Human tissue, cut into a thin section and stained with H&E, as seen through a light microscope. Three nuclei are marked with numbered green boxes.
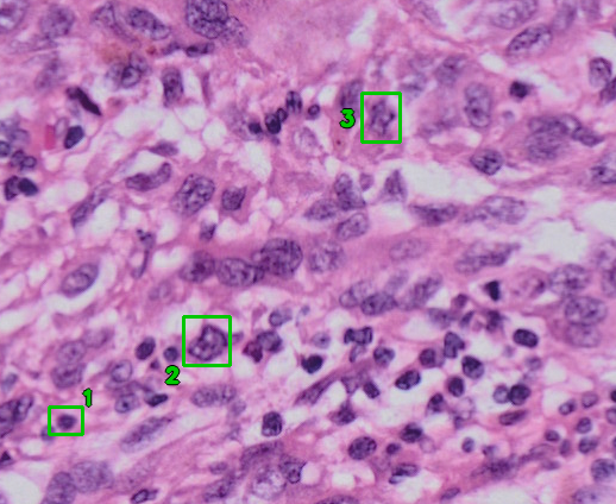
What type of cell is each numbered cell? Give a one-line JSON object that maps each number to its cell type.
{"1": "lymphocyte", "2": "melanoma cell", "3": "melanoma cell"}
